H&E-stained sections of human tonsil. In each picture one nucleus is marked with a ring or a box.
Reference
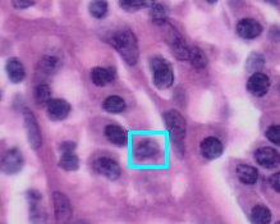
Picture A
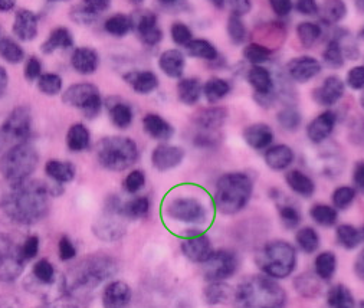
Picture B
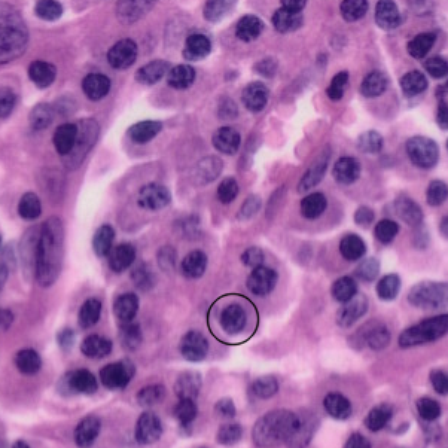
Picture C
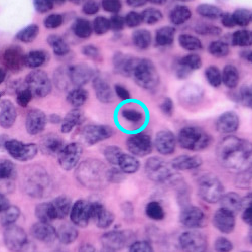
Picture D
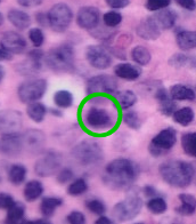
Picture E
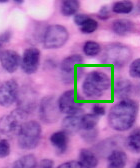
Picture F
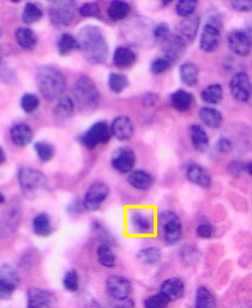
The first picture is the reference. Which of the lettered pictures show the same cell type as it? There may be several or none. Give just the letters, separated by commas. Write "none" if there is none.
B, F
